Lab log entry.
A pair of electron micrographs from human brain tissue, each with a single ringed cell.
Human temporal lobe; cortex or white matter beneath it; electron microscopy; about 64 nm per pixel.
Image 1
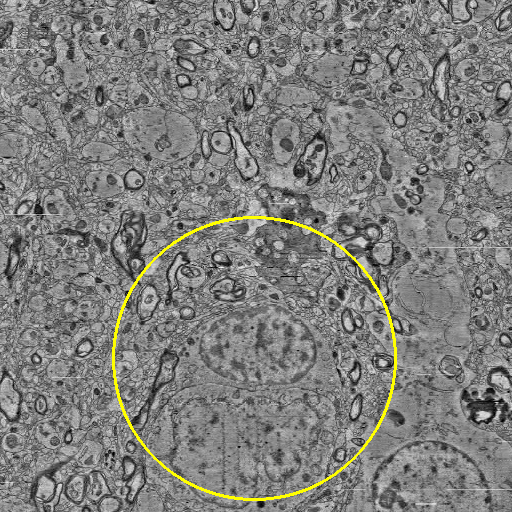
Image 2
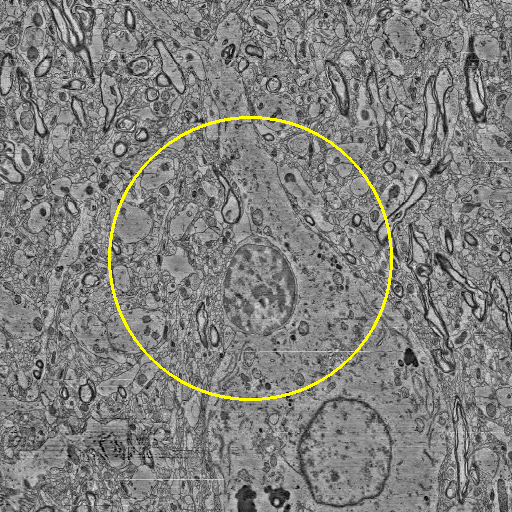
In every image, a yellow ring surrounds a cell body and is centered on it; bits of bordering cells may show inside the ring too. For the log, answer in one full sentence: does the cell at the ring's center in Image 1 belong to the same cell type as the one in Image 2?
Yes, the cells at the ring centers in Image 1 and Image 2 share one type.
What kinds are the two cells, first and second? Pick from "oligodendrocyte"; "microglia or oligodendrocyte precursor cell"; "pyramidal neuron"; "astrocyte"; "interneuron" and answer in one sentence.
The cell in the first picture is an oligodendrocyte, and so is the one in the second.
